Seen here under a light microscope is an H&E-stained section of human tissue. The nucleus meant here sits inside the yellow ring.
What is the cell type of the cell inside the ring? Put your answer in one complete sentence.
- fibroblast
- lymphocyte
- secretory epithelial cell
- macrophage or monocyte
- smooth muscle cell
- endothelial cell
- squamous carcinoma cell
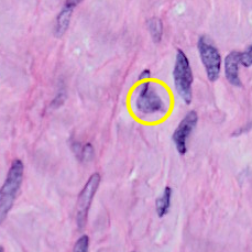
The cell meant here is a fibroblast.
